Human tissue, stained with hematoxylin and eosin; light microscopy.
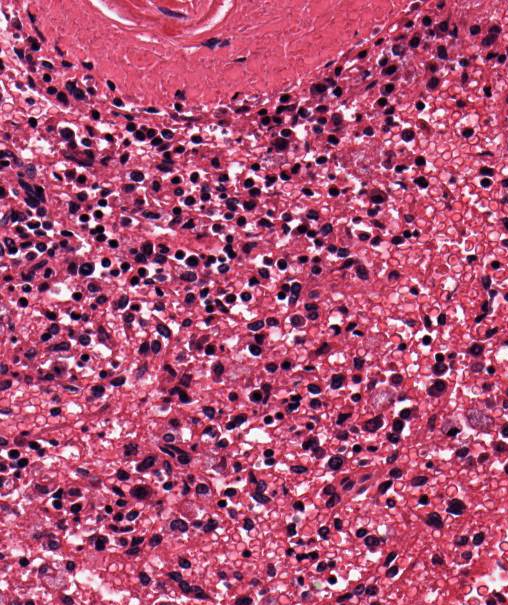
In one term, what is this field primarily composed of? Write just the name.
red pulp of the spleen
